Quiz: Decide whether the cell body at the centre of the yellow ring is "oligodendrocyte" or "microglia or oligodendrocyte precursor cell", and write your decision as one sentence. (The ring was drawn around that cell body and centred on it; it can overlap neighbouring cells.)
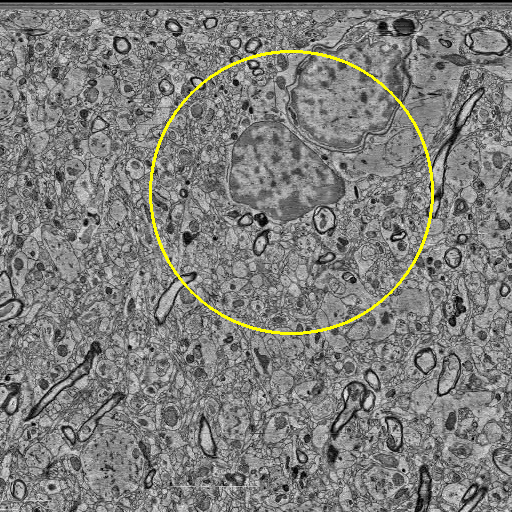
The cell the ring is centred on is a microglial cell or oligodendrocyte precursor cell.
